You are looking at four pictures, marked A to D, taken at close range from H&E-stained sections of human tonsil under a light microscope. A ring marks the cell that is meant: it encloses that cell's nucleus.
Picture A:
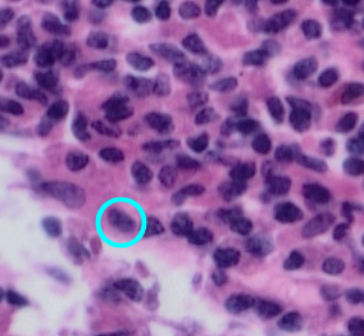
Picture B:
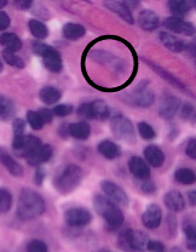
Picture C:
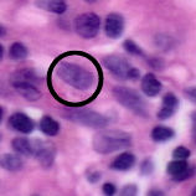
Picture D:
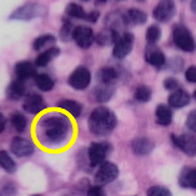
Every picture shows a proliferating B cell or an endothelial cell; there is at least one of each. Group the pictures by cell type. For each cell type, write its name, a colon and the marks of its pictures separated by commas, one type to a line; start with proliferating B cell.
proliferating B cell: D
endothelial cell: A, B, C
